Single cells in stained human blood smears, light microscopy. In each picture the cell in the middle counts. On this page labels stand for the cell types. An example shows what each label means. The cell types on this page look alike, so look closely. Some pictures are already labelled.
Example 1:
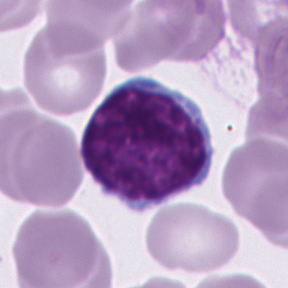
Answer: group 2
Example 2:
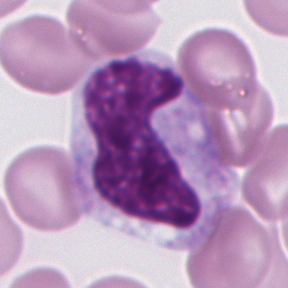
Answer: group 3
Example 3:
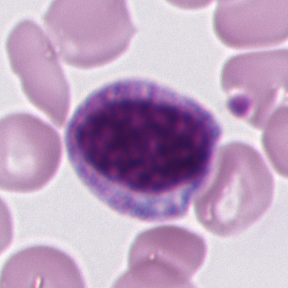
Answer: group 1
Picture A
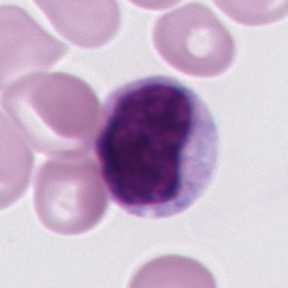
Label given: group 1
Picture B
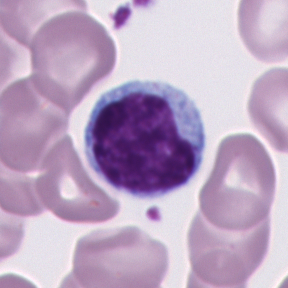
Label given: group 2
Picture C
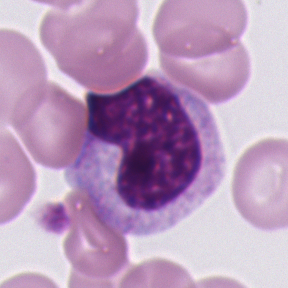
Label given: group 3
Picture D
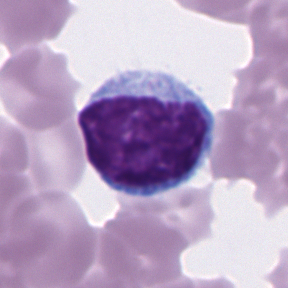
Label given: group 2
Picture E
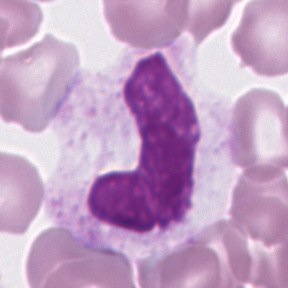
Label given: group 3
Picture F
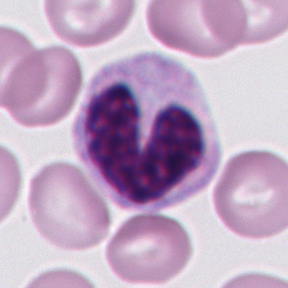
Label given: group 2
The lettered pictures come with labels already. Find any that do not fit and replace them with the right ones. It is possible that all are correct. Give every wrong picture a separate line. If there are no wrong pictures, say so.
F is labelled group 2; correct label: group 3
